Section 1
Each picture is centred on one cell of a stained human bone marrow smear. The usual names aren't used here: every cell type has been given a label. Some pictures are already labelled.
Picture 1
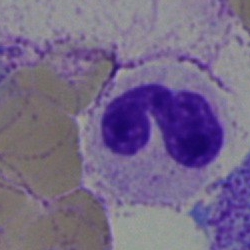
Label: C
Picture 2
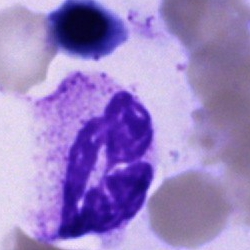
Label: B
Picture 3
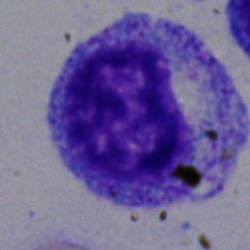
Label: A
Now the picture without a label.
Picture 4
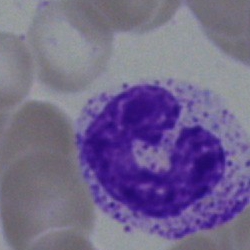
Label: C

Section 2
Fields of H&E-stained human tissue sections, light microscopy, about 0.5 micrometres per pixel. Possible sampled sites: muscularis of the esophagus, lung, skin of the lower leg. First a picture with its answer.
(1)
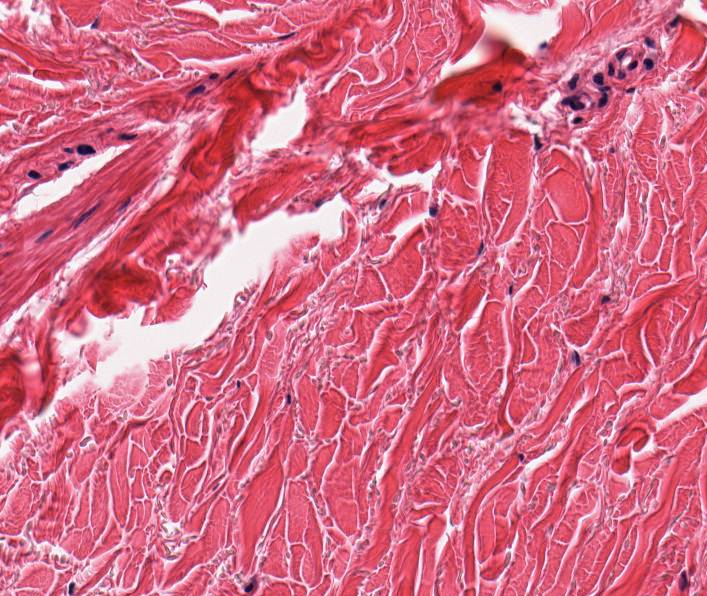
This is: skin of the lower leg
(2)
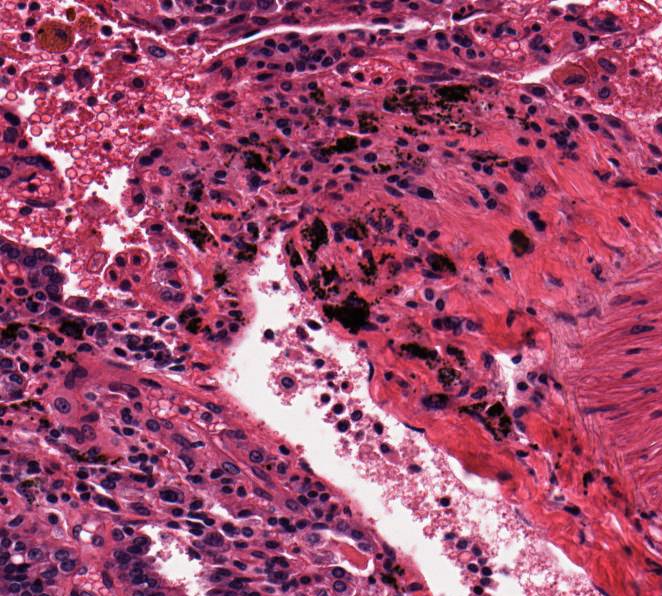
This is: lung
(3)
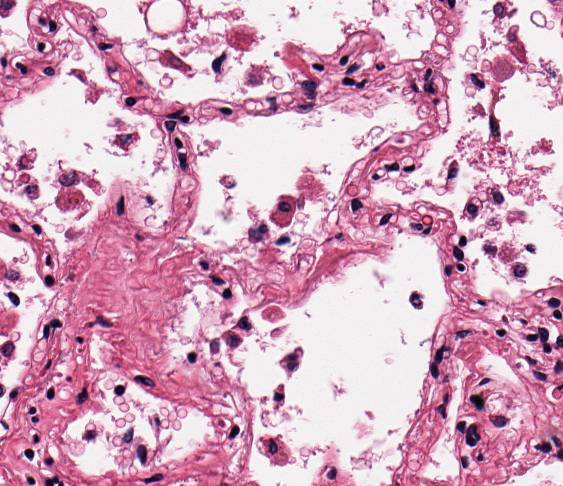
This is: lung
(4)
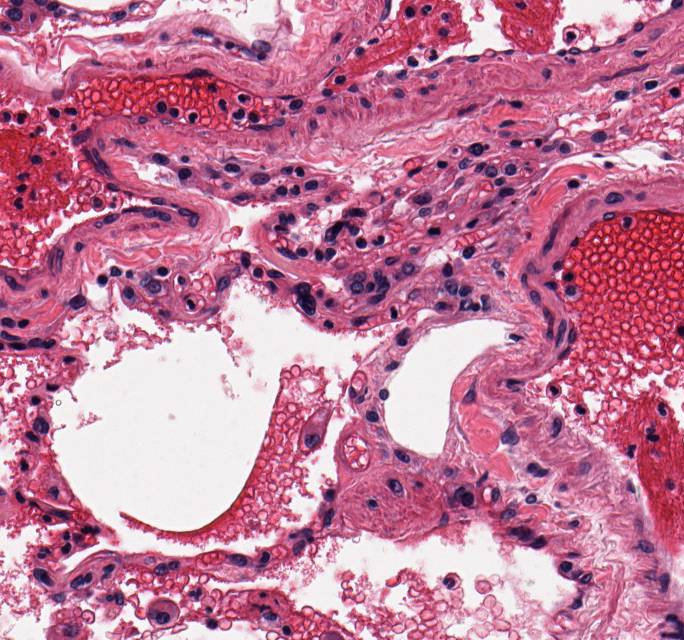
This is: lung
